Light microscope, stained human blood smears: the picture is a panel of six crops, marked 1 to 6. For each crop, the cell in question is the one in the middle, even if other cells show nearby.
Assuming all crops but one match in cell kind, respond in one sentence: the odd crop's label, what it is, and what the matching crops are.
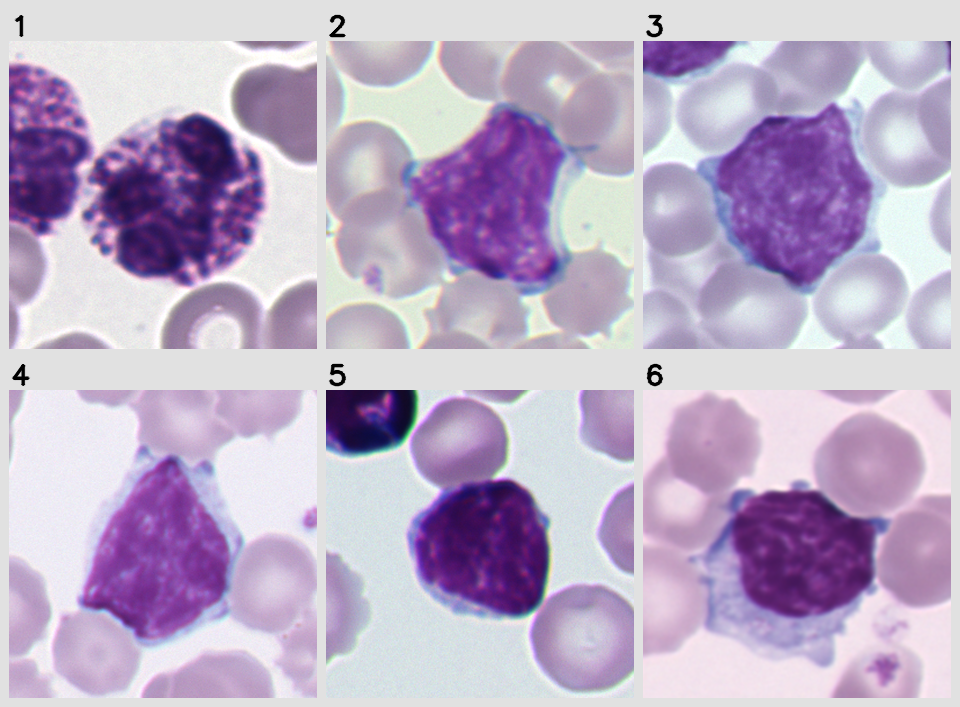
Crop 1 holds a basophil, unlike the remaining crops, all of which hold typical lymphocytes.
